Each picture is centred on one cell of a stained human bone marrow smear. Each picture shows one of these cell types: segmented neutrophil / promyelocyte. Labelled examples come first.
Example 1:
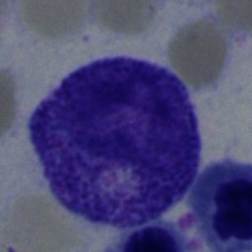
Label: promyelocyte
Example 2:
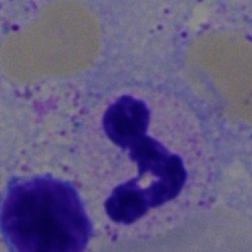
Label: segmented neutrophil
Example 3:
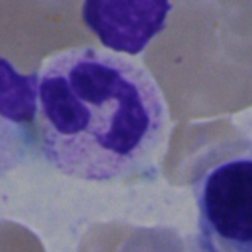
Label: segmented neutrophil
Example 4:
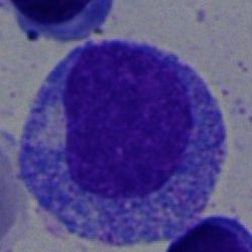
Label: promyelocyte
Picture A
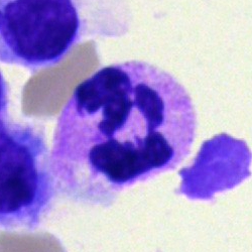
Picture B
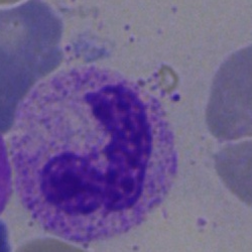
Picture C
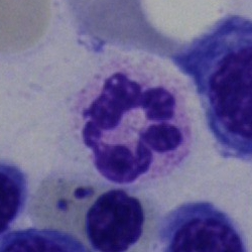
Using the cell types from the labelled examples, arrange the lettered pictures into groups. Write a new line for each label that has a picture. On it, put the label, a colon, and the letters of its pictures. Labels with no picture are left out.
segmented neutrophil: A, B, C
